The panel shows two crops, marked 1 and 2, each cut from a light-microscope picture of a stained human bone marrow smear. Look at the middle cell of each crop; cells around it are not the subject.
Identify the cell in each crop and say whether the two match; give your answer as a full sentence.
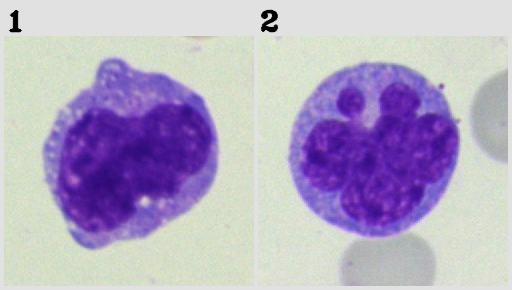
Yes, it is monocytes that sit at the centre of both crops.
